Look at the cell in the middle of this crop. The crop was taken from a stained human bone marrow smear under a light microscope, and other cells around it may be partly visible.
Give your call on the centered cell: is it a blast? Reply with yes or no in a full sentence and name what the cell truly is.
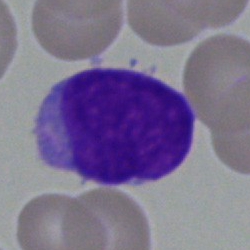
Yes, the cell in the middle is recognised as a blast.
